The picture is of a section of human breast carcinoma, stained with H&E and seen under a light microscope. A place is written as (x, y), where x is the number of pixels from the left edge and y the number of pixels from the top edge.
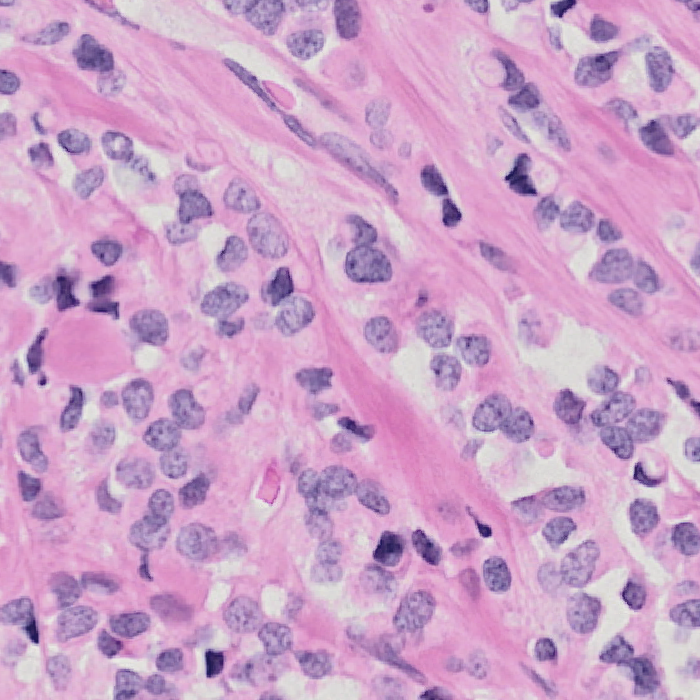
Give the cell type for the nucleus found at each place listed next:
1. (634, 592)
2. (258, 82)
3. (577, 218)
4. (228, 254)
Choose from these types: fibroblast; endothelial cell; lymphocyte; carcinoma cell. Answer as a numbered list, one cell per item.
1. carcinoma cell
2. endothelial cell
3. carcinoma cell
4. carcinoma cell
